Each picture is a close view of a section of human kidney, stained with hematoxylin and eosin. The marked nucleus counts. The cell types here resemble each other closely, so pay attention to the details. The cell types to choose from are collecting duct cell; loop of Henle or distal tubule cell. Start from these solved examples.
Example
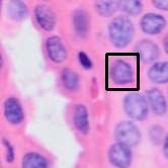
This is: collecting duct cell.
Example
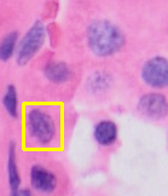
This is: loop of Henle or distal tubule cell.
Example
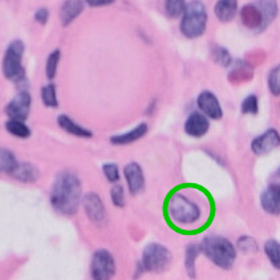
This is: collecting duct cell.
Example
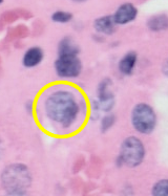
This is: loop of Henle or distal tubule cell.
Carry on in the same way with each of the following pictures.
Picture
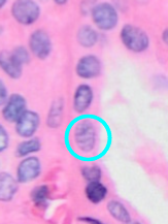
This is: collecting duct cell.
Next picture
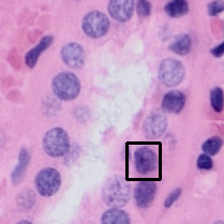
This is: collecting duct cell.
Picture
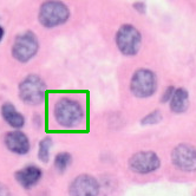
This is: loop of Henle or distal tubule cell.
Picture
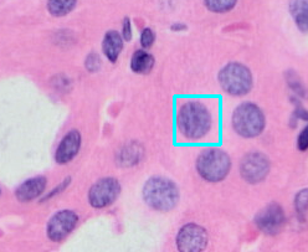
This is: loop of Henle or distal tubule cell.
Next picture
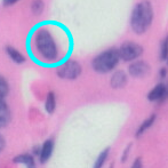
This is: collecting duct cell.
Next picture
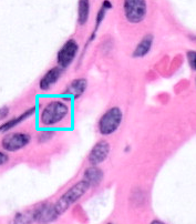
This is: collecting duct cell.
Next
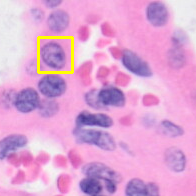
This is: collecting duct cell.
